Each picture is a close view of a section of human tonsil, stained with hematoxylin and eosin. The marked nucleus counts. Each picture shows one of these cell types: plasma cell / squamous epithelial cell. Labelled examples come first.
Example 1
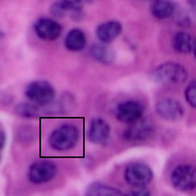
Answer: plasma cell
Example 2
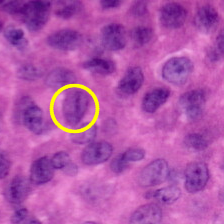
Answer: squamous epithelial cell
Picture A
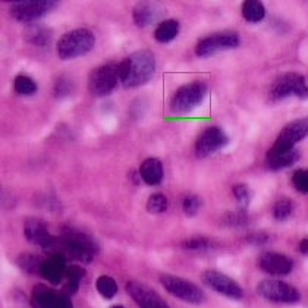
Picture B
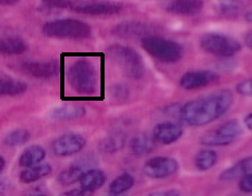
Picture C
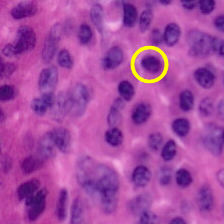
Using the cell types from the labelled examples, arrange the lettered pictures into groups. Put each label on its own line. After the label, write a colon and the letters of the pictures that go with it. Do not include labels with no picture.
plasma cell: C
squamous epithelial cell: A, B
